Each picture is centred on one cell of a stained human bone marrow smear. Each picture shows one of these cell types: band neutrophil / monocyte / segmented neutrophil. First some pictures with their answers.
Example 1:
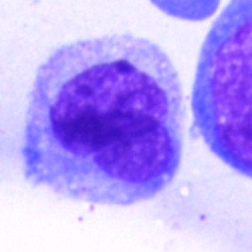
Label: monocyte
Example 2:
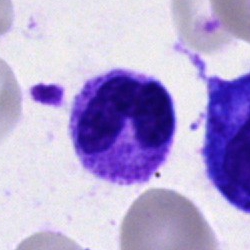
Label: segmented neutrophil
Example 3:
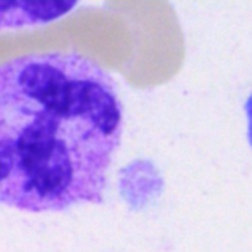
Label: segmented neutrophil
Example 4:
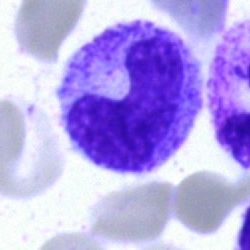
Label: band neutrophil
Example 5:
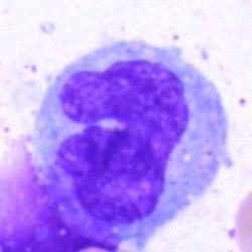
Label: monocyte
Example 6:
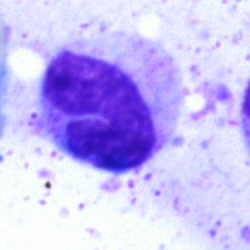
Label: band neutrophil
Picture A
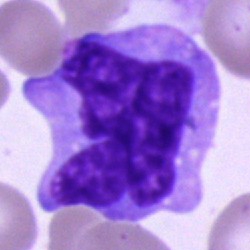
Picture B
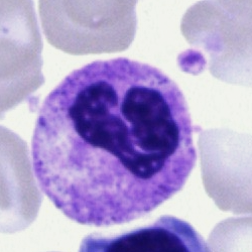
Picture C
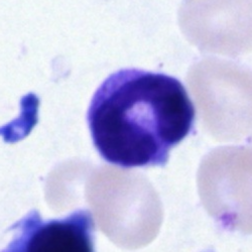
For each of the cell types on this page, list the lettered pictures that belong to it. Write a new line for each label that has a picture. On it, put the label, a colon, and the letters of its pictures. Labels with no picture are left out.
monocyte: A
segmented neutrophil: B, C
